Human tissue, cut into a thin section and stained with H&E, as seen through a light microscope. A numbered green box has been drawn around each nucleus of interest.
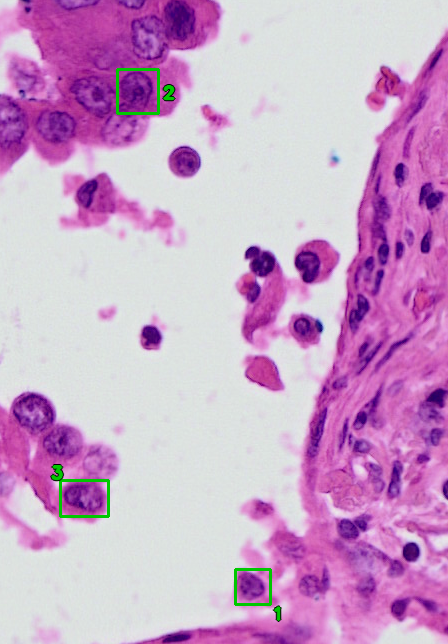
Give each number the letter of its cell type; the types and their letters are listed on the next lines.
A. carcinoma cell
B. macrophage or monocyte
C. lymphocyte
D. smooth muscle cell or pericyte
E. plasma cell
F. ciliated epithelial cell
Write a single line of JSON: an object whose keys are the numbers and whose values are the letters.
{"1": "B", "2": "A", "3": "A"}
